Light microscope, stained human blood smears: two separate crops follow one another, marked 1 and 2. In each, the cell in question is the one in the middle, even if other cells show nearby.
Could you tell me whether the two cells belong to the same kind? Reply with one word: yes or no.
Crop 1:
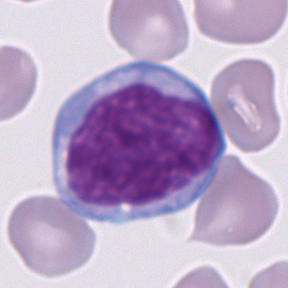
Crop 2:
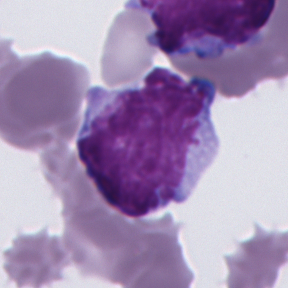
yes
